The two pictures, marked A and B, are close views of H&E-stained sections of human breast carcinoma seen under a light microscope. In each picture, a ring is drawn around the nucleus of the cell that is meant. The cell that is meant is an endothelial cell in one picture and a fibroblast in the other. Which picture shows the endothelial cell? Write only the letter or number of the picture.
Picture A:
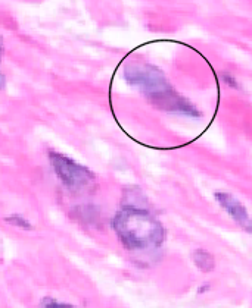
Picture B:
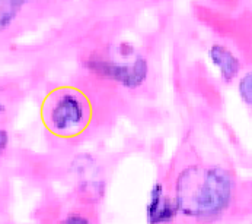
B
